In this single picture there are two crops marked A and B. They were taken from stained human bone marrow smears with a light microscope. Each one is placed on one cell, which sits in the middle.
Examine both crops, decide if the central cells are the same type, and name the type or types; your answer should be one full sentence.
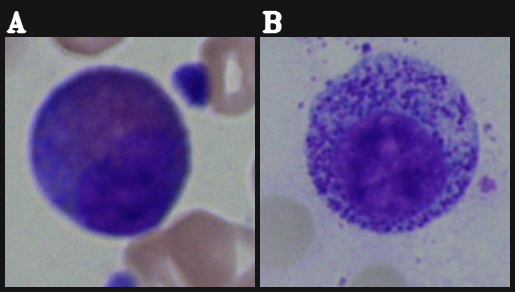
No, a myelocyte is depicted in crop B, whereas an eosinophil is depicted in crop A.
